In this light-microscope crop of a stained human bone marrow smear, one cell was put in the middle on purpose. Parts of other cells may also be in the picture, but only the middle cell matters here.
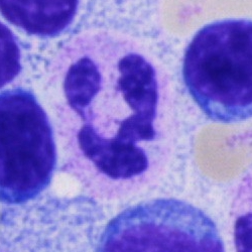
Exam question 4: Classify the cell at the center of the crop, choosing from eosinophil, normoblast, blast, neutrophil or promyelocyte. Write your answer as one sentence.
In this smear crop, the middle cell is a neutrophil.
